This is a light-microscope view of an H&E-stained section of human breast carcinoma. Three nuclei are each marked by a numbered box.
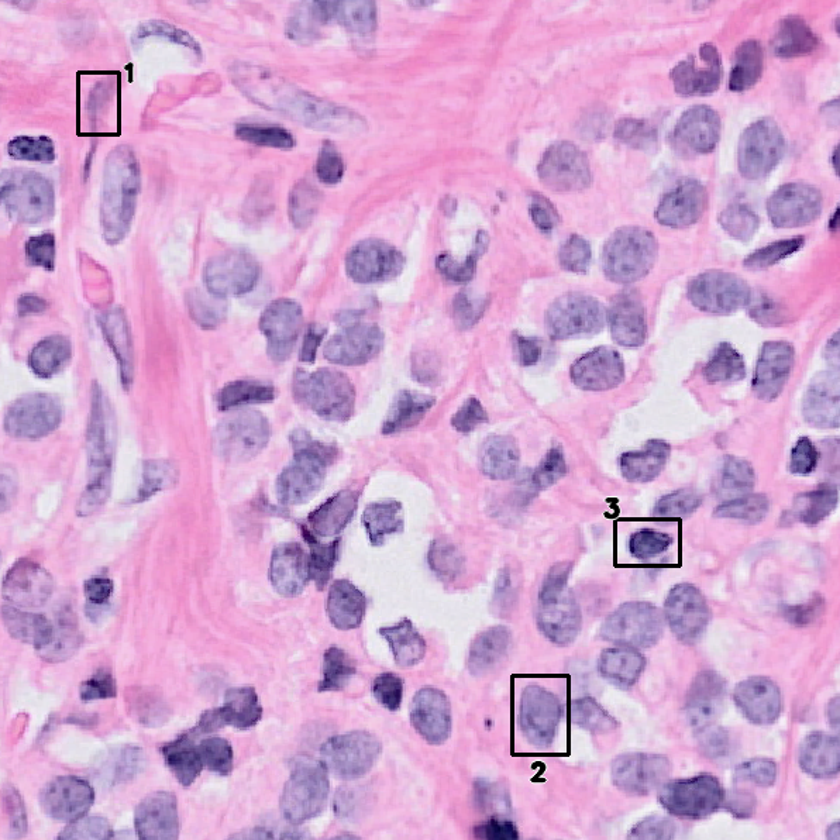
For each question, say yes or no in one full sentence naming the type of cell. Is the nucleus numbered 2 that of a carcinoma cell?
Yes, that is correct: the cell numbered 2 is a carcinoma cell.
